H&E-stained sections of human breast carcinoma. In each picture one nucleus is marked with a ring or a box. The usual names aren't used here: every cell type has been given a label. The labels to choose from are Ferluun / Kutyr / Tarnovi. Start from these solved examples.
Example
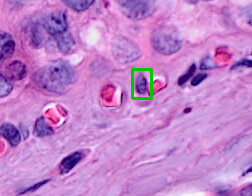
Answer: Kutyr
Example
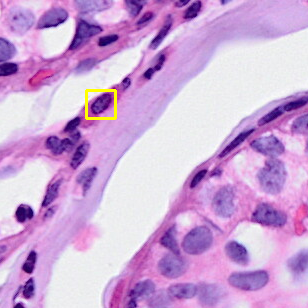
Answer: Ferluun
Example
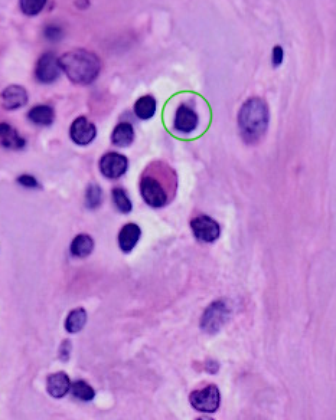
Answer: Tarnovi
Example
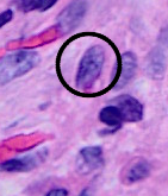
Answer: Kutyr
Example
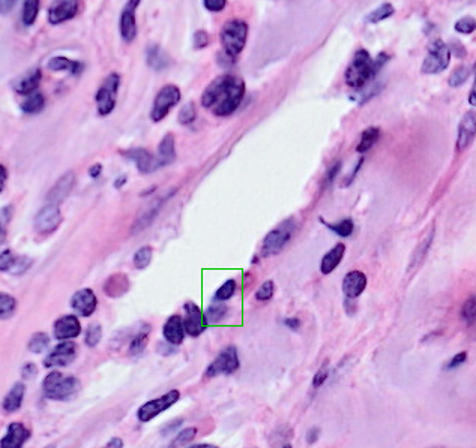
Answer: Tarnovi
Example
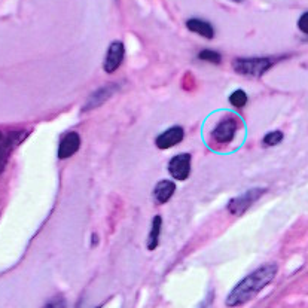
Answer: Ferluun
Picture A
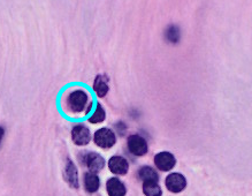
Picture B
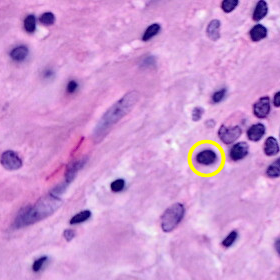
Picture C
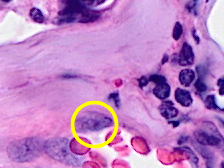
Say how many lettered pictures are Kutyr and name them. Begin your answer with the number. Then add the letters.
Count: 1 (C)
